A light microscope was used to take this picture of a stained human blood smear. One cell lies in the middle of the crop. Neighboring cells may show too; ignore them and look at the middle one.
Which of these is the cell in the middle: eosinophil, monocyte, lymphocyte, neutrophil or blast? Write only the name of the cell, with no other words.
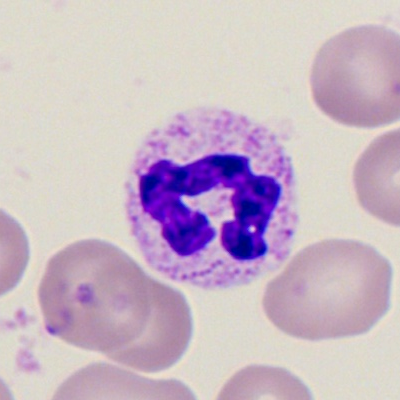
neutrophil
